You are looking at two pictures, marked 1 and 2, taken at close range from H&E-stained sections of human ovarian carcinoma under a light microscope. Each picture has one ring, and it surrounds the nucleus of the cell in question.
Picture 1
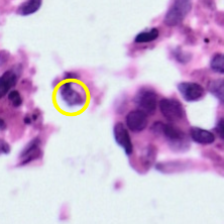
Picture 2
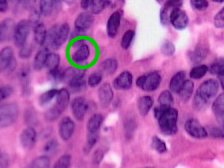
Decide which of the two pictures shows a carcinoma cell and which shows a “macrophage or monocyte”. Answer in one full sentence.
Picture 2 shows a carcinoma cell, while picture 1 shows a “macrophage or monocyte”.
